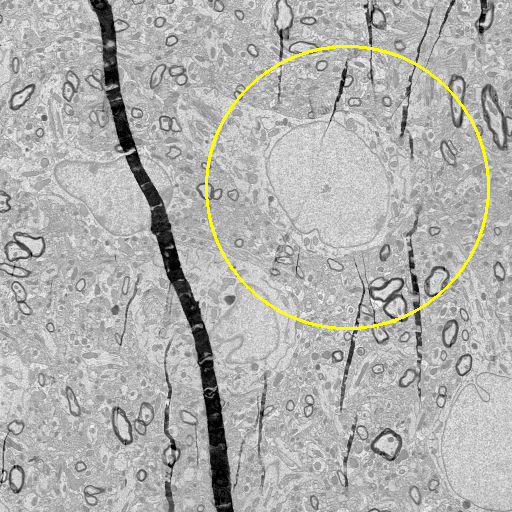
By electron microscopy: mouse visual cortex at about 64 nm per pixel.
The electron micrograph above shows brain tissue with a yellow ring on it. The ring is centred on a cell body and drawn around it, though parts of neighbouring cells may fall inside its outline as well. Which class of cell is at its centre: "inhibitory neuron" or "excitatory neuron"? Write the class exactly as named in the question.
inhibitory neuron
